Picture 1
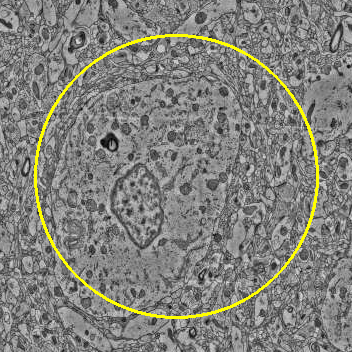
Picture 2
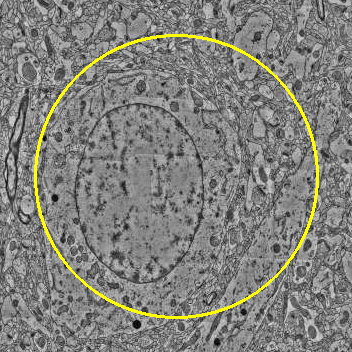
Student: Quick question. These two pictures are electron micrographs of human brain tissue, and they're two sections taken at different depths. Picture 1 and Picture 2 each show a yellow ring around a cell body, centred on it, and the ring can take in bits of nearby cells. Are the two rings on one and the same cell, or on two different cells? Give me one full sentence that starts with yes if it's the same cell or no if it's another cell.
Yes, the marked cell is the same in both rings.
